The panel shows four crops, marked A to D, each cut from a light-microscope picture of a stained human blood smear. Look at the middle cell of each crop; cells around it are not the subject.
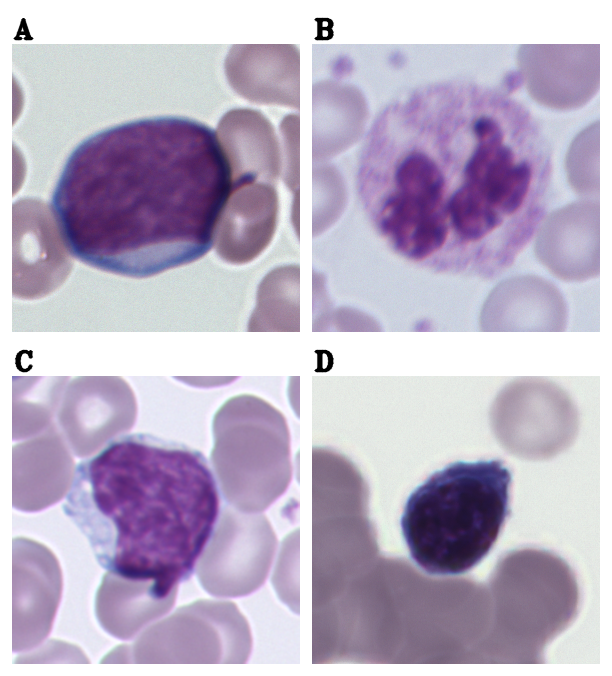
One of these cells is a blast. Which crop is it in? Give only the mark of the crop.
A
